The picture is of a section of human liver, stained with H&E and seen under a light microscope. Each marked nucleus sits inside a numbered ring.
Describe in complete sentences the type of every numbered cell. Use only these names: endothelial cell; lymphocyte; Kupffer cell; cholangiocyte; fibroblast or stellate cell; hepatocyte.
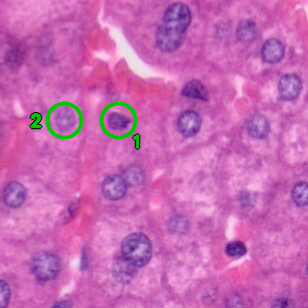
Cell 1 is a fibroblast or stellate cell and cell 2 is a hepatocyte.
